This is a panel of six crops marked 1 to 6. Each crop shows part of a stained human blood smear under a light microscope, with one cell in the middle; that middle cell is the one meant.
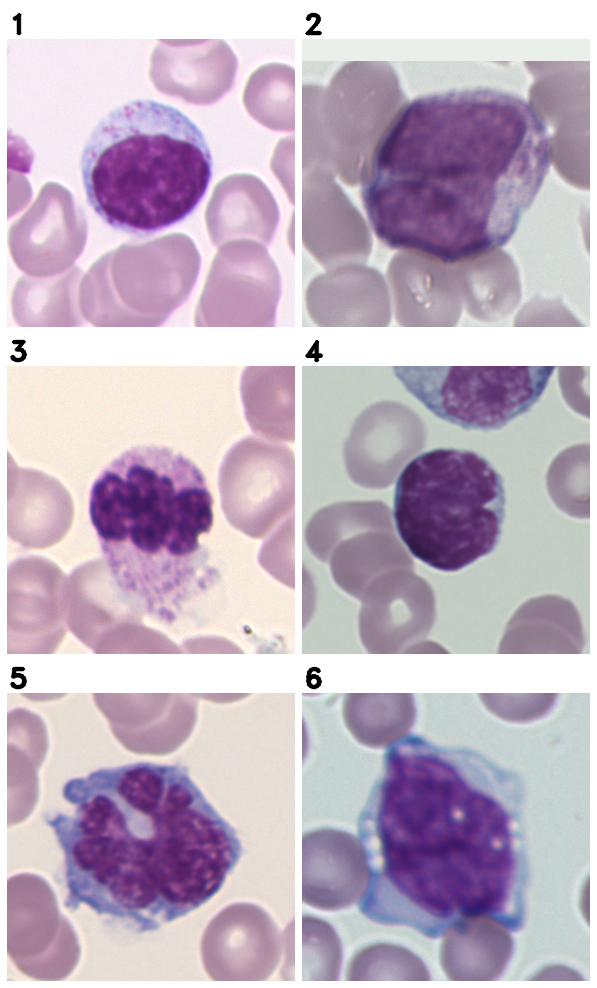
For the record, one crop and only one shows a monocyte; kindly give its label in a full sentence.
The cell at the center of crop 5 is the one that is a monocyte.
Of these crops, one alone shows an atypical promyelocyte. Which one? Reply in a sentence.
Within this set, crop 2 is the one with an atypical promyelocyte at its center.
